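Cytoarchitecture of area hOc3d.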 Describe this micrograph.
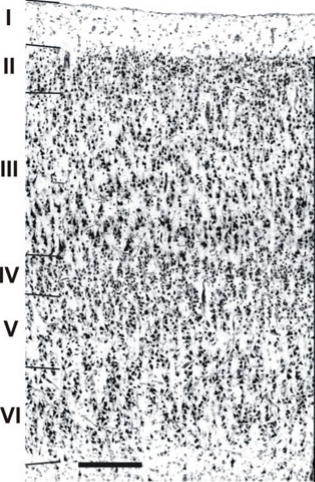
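Cerebral cortex in a cell body stain, with layers from a pale, cell-sparse surface layer down to the white matter. Small dark cells pack a band beneath the surface layer. A thick layer of vertically aligned cells follows, then a dense granular band. Below this, a relatively broad layer contains scattered larger cell bodies. The deepest layer is not sharply set off. Its cells fade gradually into the underlying white matter, so the border between cortex and white matter is indistinct. Throughout, the cell bodies are arranged in radial columns.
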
